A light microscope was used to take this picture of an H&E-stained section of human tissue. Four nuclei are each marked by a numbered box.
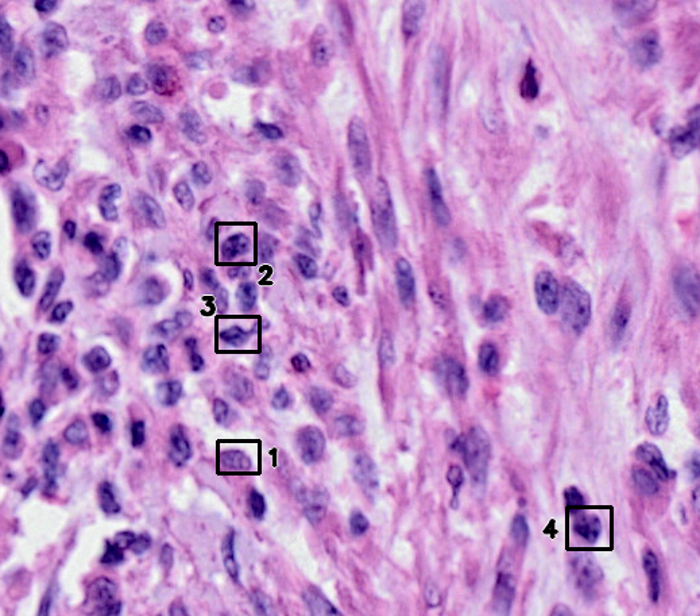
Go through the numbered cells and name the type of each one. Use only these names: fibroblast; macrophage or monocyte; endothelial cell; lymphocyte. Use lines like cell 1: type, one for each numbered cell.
cell 1: macrophage or monocyte
cell 2: lymphocyte
cell 3: lymphocyte
cell 4: lymphocyte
